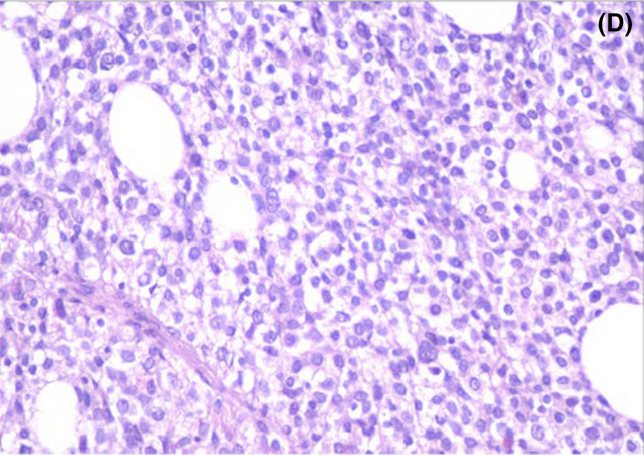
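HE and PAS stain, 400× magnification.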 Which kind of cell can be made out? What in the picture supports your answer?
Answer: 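Dense sheets of round to oval cells fill most of the marrow space. Many cells have a round nucleus set off to one side of the cell. The cells have moderate pale purple cytoplasm.
Bone marrow plasma cell.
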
